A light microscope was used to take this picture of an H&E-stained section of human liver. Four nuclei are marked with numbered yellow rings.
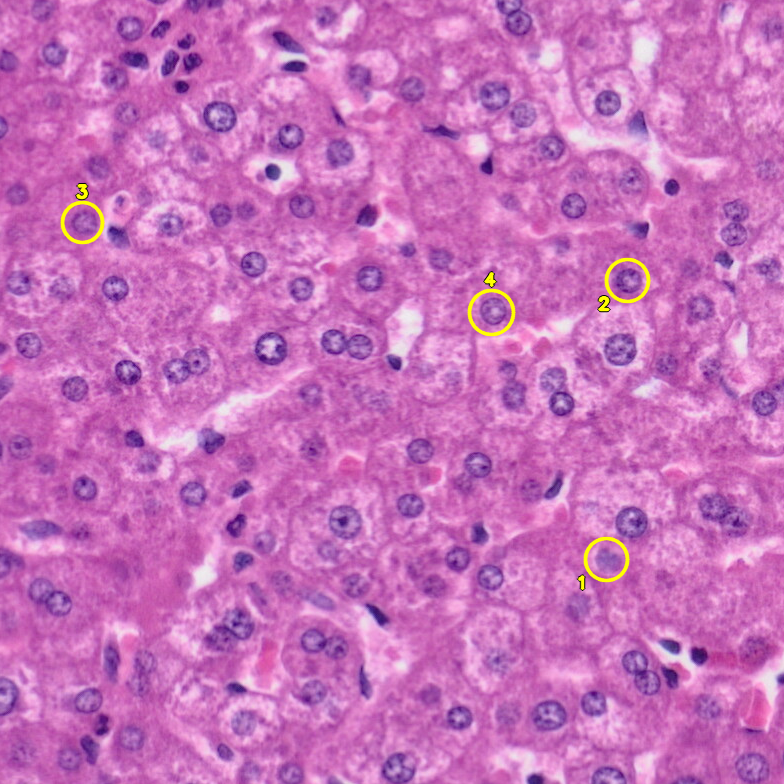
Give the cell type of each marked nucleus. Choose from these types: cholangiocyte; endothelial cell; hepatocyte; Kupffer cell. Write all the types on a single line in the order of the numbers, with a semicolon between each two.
endothelial cell; hepatocyte; hepatocyte; hepatocyte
